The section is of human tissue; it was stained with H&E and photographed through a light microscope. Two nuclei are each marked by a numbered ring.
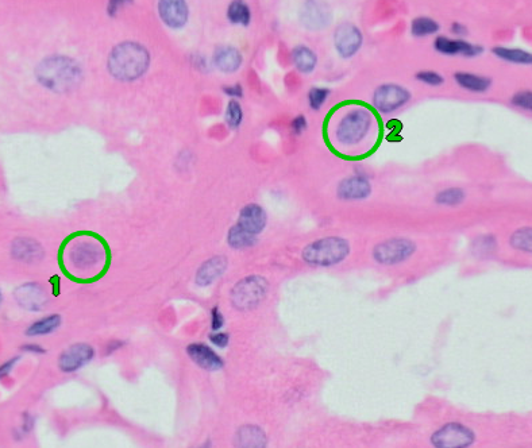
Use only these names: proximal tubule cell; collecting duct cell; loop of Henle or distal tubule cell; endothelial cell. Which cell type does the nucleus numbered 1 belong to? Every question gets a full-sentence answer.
Numbered cell 1 is a proximal tubule cell in this tissue section.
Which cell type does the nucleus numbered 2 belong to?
In this section, number 2 marks a collecting duct cell.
